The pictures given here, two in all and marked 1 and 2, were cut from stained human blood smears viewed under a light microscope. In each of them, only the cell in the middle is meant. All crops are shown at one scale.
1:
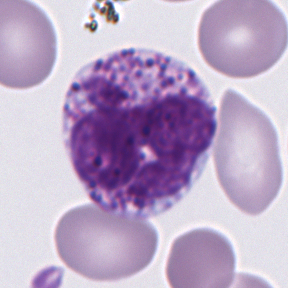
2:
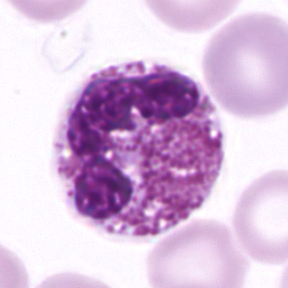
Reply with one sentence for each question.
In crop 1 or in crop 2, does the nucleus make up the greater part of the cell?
Of the two, the nucleus in crop 1 makes up the greater part of its cell.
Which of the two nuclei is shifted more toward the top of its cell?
It is the nucleus in crop 2 that lies further toward the top of its cell.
